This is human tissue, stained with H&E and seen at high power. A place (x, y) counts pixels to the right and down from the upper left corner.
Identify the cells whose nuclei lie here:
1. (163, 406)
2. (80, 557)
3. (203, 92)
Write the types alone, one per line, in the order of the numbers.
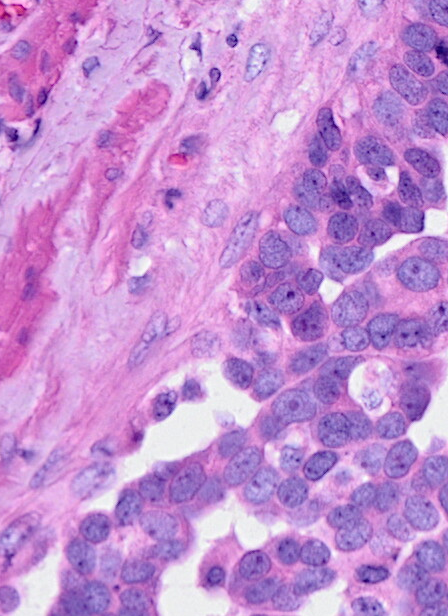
macrophage or monocyte
carcinoma cell
macrophage or monocyte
